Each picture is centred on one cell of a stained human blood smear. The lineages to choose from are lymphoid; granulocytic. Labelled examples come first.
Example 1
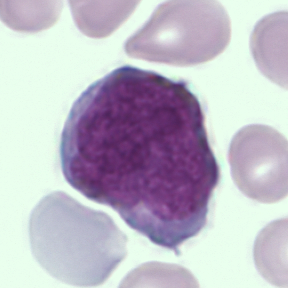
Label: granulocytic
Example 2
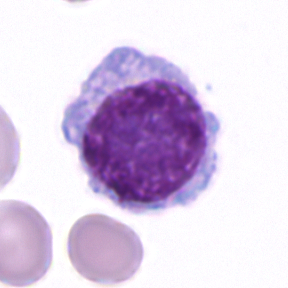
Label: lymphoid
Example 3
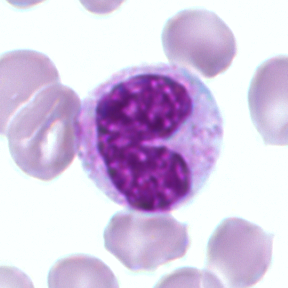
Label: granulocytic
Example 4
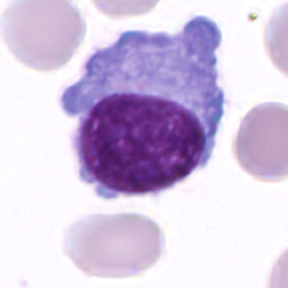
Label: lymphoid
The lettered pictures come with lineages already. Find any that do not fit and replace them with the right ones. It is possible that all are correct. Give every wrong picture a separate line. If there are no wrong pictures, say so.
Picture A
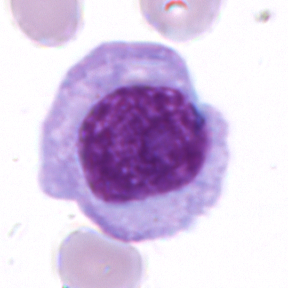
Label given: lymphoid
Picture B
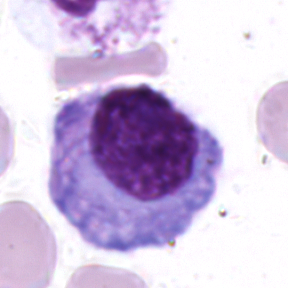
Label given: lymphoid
All labels are correct.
